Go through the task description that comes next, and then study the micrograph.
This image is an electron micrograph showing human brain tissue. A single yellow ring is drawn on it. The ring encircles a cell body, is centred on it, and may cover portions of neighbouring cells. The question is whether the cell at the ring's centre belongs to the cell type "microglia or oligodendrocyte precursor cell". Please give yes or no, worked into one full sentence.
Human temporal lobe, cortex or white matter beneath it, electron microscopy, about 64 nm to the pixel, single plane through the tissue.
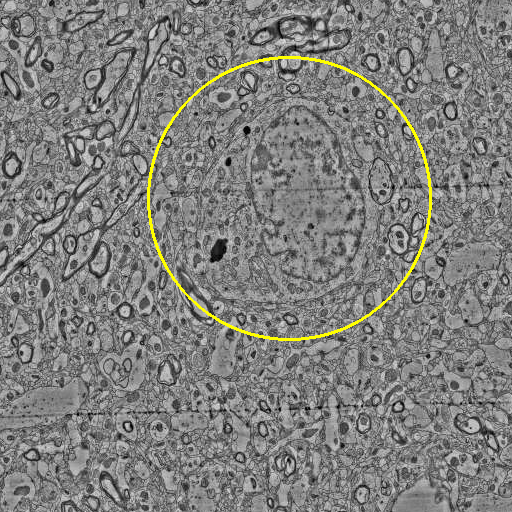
No, the cell that the ring is centred on in the micrograph is of another kind.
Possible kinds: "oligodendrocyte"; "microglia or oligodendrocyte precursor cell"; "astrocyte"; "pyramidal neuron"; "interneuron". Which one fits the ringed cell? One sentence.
The cell shown in the ring is an interneuron.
